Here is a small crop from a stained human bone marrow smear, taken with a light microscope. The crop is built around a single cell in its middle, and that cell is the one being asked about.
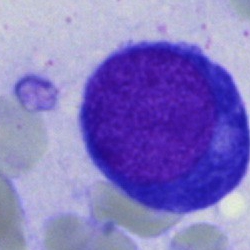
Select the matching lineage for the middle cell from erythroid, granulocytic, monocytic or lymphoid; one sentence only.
Lineage classification of the central cell is erythroid.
